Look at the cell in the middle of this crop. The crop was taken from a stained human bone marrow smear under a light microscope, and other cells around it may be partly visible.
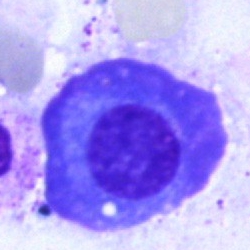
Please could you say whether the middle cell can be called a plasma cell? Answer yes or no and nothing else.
yes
